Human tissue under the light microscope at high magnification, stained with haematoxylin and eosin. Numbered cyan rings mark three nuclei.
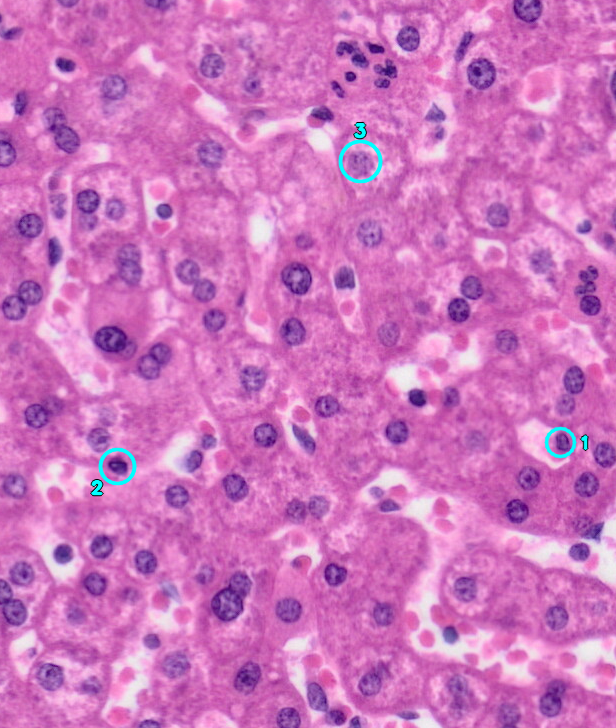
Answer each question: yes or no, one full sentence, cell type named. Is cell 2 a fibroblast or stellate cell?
Yes, the cell whose nucleus carries number 2 is a fibroblast or stellate cell.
